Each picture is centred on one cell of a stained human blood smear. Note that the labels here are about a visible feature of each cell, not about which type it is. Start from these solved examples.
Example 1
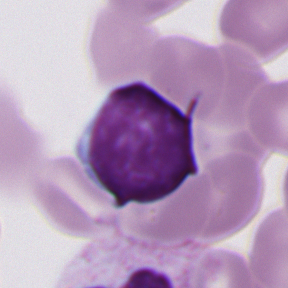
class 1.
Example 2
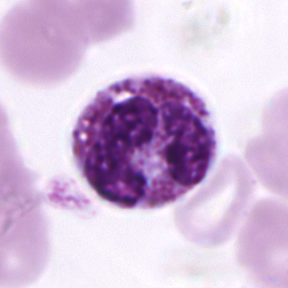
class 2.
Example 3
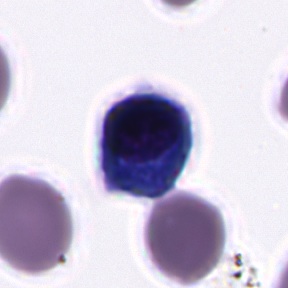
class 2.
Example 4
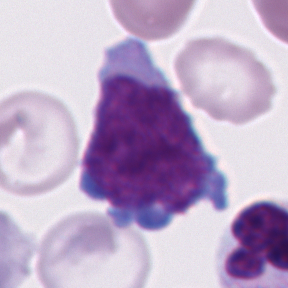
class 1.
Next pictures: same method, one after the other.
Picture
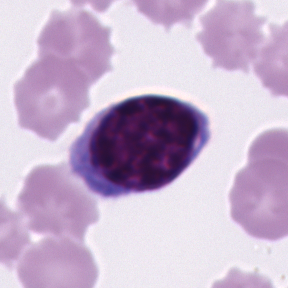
class 2.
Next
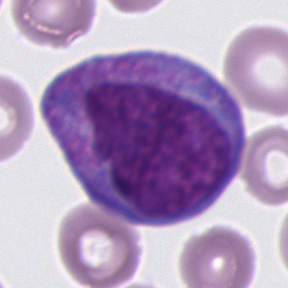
class 2.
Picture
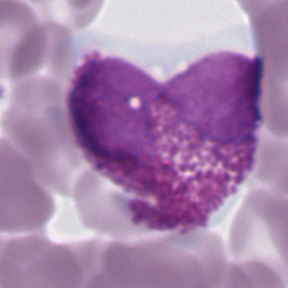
class 1.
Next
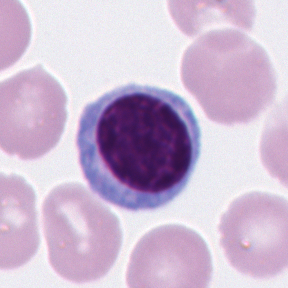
class 2.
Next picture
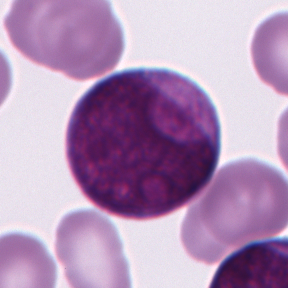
class 2.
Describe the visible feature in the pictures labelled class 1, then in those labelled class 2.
Seen in class 1: ragged outline or projections; seen in class 2: smooth outline.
